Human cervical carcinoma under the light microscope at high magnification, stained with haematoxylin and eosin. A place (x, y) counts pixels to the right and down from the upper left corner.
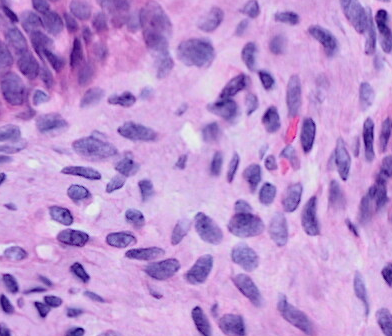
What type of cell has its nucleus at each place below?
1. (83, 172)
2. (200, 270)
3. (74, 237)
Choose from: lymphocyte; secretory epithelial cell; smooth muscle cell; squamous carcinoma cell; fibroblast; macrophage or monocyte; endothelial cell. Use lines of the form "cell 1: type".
cell 1: fibroblast
cell 2: fibroblast
cell 3: endothelial cell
